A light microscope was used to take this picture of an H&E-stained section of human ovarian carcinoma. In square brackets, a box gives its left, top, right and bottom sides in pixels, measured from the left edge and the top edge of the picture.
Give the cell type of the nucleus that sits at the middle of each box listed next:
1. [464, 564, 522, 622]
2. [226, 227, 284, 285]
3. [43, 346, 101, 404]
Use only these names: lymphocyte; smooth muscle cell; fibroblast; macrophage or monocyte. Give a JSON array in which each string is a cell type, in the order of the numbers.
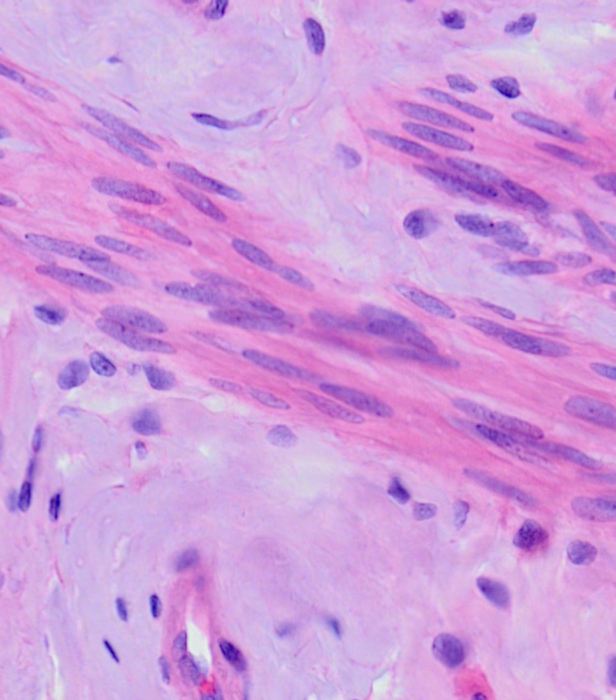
["fibroblast", "smooth muscle cell", "fibroblast"]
